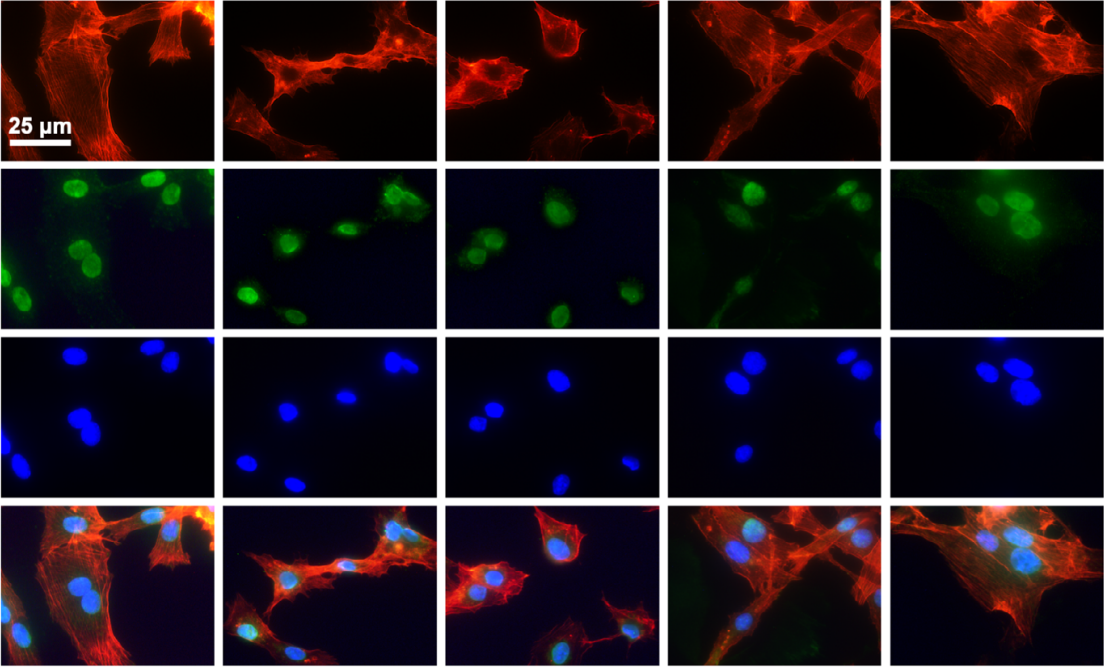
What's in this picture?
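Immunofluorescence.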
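A grid of fluorescence images shows cultured flat cells, each with its cytoplasm outlined in red filaments, a green-stained nucleus and a blue nucleus in the matching view, merged in the bottom row. In some columns the cells are broad and spread, with long straight red filaments running in parallel bundles across the cytoplasm, the stress fibres. In other columns the cells look smaller and more irregular, with few internal bundles and a bright red band concentrated along the cell edge, a cortical actin ring. The green is strongest in the nuclei, overlapping the blue, with faint diffuse green in the cytoplasm.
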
